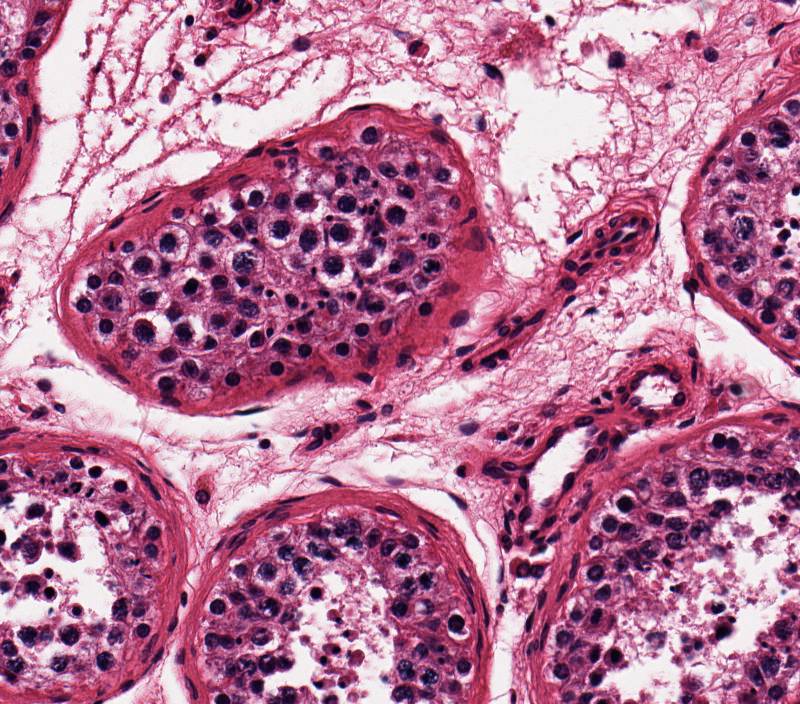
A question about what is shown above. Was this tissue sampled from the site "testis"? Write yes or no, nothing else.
yes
